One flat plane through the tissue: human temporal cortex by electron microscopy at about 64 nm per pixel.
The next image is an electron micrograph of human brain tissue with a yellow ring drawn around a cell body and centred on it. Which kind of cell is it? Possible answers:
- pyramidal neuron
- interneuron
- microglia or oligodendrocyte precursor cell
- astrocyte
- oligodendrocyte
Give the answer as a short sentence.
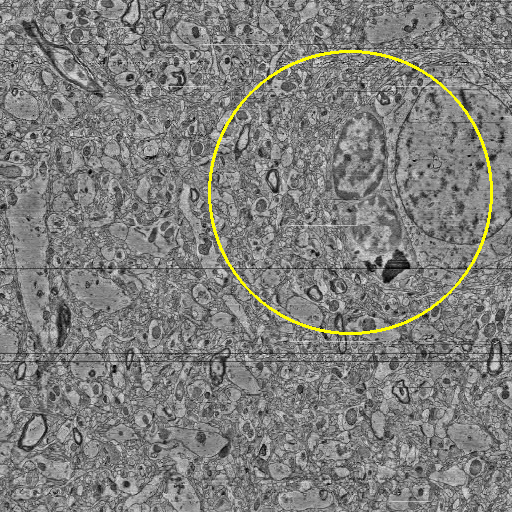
In the ring's centre is an oligodendrocyte.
